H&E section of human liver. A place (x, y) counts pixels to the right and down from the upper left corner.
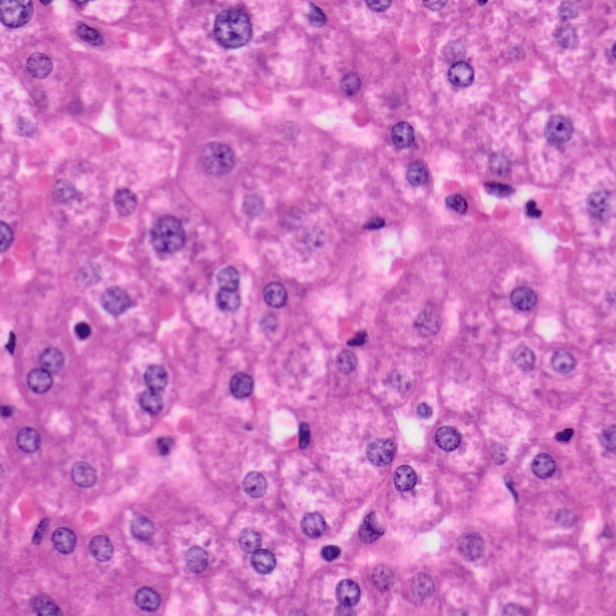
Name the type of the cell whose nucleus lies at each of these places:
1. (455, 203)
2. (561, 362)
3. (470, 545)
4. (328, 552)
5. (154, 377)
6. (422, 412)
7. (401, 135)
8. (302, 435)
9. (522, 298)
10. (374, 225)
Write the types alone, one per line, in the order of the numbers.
Kupffer cell
hepatocyte
hepatocyte
lymphocyte
hepatocyte
lymphocyte
hepatocyte
fibroblast or stellate cell
hepatocyte
fibroblast or stellate cell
